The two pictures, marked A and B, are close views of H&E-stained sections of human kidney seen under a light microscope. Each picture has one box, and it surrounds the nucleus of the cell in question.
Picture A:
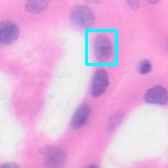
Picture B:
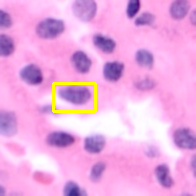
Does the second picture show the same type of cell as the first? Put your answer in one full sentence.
Yes, both cells are “loop of Henle or distal tubule cells”.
